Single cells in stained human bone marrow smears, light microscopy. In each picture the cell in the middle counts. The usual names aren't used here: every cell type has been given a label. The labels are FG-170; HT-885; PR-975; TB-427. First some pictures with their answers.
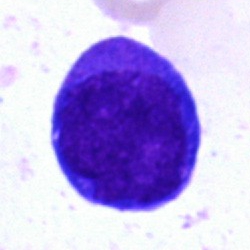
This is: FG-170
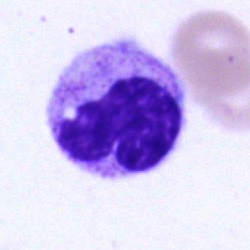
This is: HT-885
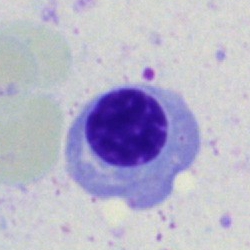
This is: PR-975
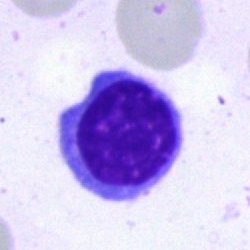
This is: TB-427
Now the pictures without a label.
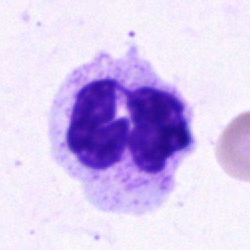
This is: HT-885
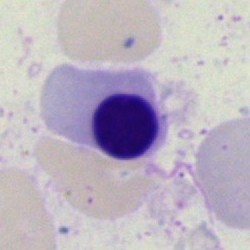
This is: PR-975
